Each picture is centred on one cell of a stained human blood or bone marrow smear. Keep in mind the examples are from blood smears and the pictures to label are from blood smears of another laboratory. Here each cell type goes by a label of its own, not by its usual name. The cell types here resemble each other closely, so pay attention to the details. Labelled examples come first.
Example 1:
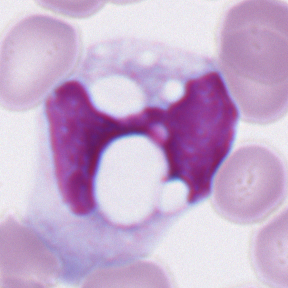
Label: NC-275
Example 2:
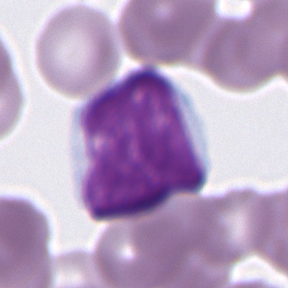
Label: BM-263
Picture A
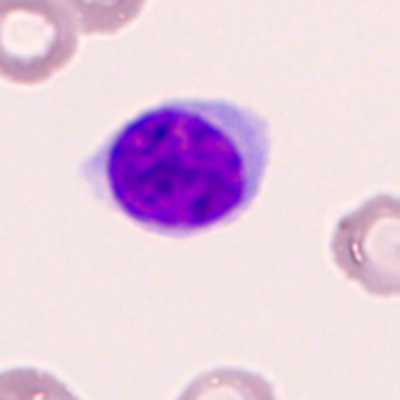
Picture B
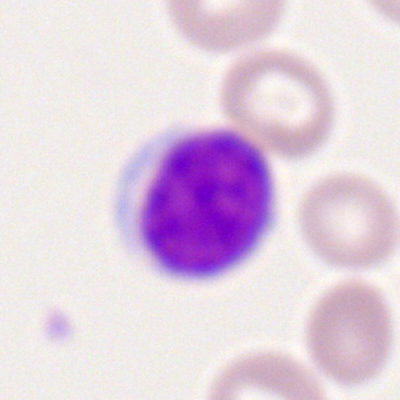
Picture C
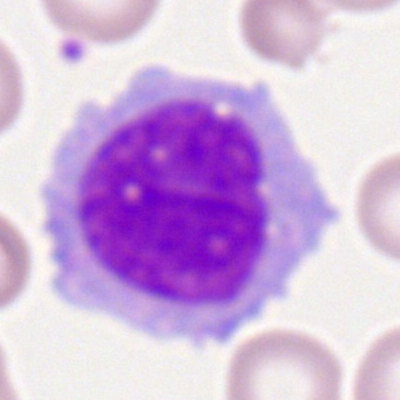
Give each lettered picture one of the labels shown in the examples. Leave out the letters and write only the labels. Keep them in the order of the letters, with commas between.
BM-263, BM-263, NC-275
